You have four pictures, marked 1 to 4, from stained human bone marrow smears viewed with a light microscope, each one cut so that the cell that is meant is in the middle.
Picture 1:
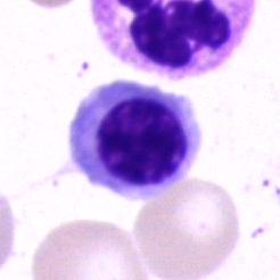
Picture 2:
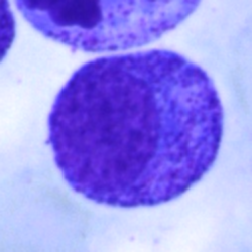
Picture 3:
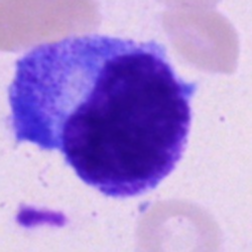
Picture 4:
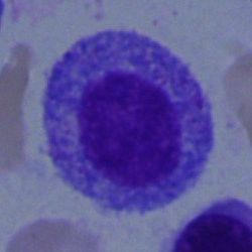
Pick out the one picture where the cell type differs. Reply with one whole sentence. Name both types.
The others show promyelocytes, but picture 1 shows an erythroblast.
